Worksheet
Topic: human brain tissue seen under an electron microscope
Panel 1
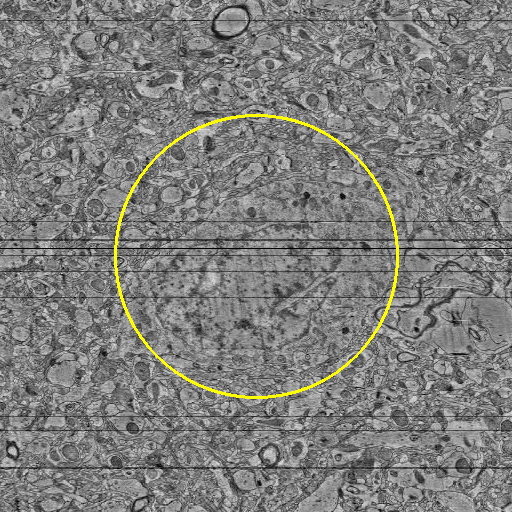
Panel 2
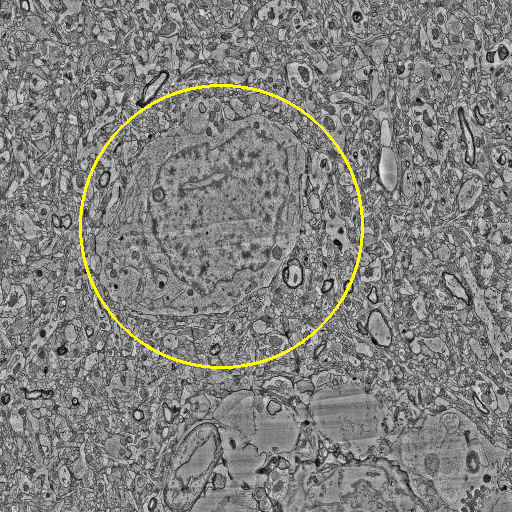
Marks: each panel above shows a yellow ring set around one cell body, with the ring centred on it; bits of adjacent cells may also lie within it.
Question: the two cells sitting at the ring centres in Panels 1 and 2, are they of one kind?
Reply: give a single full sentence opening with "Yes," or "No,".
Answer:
Yes, the two ring-centre cells in Panel 1 and Panel 2 are of one kind.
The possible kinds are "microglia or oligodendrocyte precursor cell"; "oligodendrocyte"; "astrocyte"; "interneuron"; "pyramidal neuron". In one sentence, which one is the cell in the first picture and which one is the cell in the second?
Both pictures show an interneuron at the centre of the ring.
